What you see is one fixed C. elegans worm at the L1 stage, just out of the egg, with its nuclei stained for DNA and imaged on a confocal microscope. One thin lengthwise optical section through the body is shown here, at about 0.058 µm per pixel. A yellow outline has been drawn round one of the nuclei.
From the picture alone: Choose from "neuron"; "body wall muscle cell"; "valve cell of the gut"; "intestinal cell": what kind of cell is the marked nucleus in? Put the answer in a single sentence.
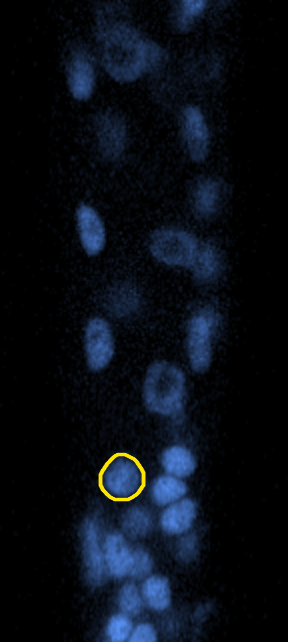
The marked cell is a valve cell of the gut.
